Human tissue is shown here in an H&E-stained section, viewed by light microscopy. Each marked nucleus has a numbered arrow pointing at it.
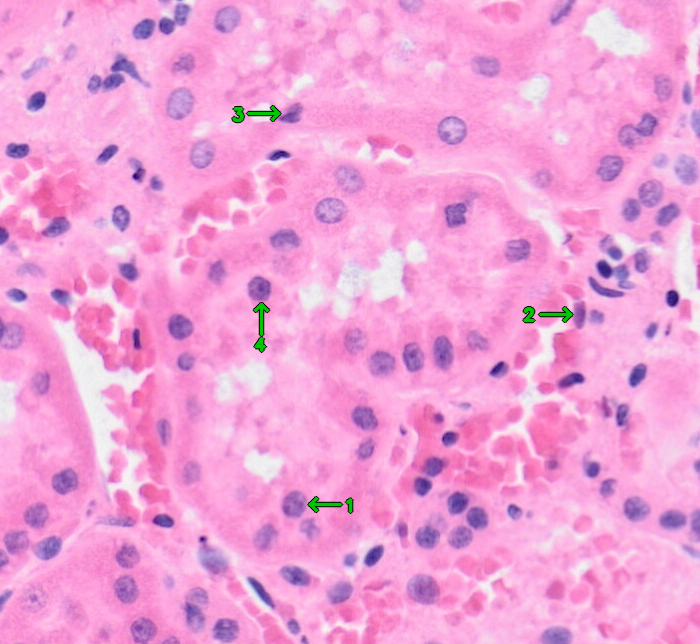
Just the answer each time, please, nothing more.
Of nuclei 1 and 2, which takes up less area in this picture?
2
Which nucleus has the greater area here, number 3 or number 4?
4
